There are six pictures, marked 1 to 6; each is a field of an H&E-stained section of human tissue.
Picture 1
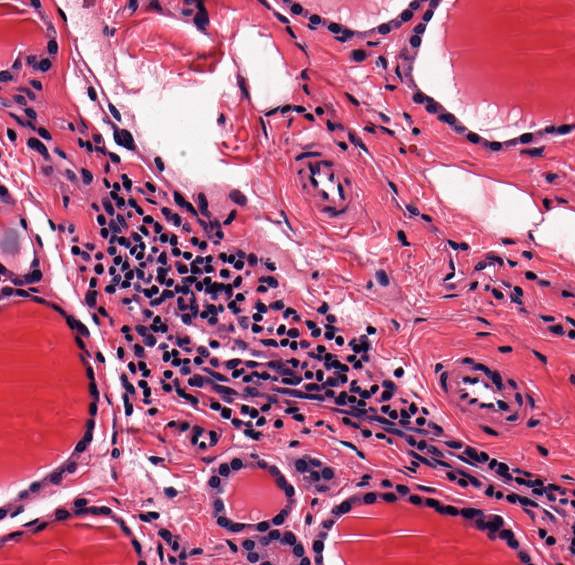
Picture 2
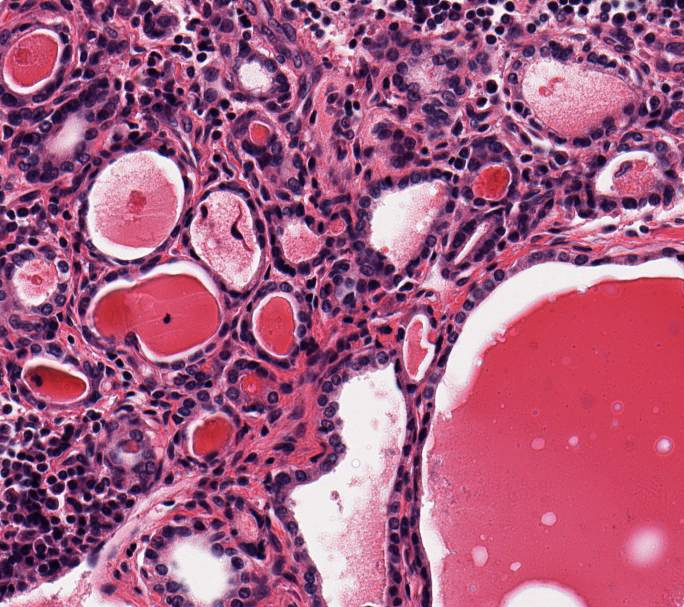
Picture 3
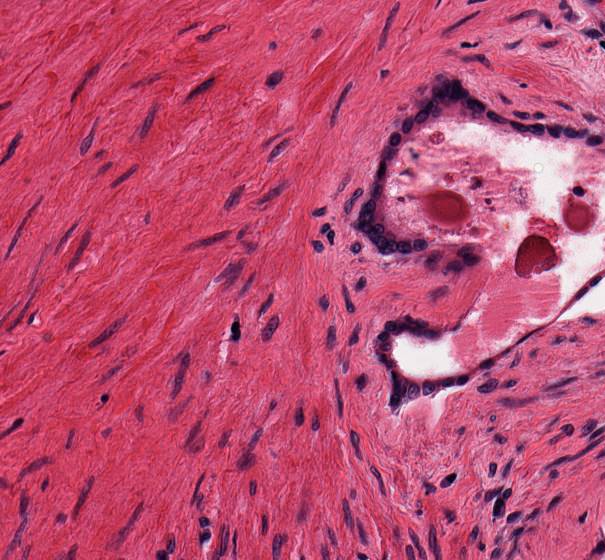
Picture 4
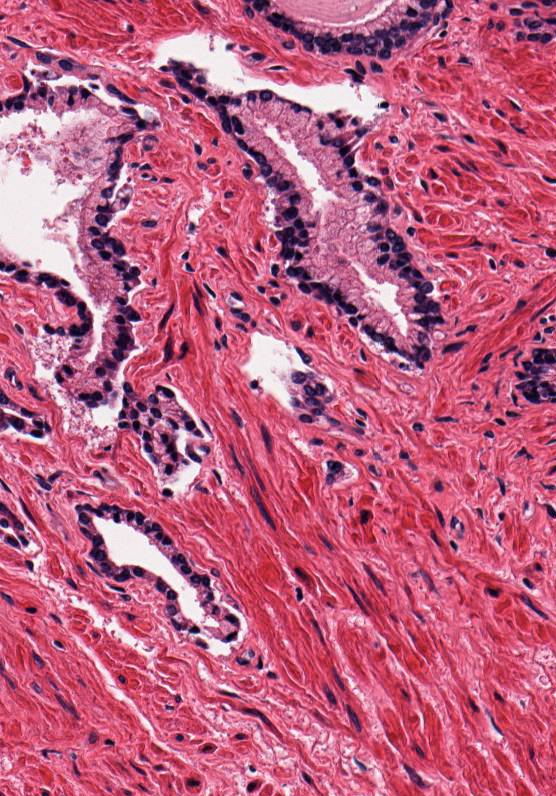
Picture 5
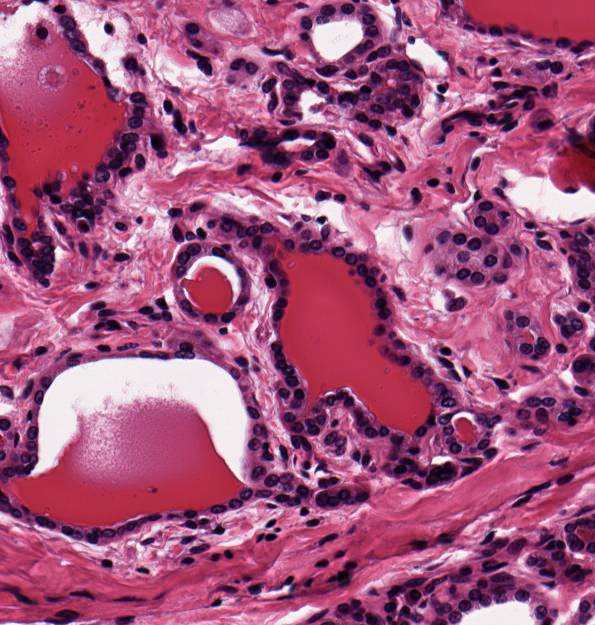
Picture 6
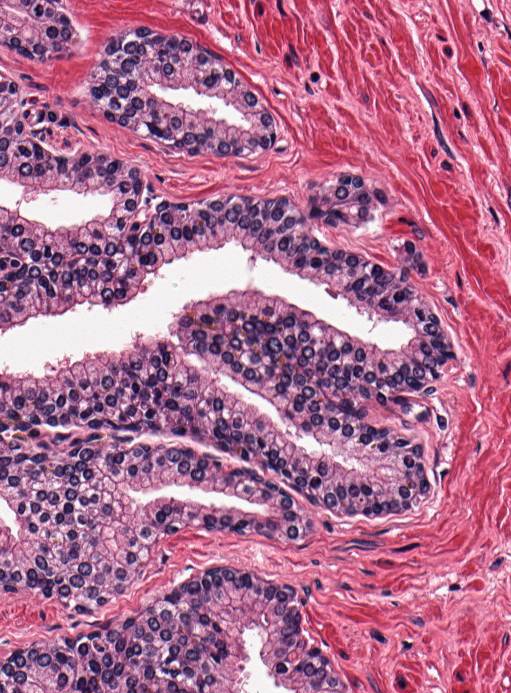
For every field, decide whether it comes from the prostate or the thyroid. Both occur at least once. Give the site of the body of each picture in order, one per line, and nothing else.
thyroid
thyroid
prostate
prostate
thyroid
prostate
